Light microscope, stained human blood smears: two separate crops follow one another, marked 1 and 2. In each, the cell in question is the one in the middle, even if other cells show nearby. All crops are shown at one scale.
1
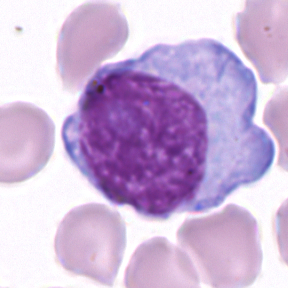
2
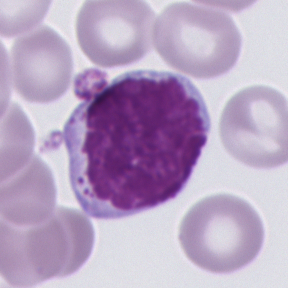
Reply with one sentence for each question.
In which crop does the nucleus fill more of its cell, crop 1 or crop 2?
Of the two, the nucleus in crop 2 makes up the greater part of its cell.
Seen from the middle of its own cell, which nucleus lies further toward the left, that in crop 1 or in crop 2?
In crop 1 the nucleus is shifted more toward the left.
